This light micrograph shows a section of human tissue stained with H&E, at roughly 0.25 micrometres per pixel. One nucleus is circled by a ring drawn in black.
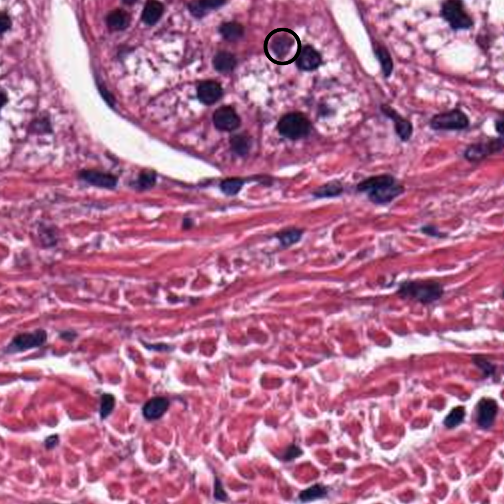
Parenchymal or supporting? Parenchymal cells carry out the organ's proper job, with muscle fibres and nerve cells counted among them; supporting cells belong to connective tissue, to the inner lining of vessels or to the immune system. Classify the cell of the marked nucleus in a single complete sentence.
The marked nucleus is identified as that of a parenchymal cell, namely an adrenal cortical cell.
